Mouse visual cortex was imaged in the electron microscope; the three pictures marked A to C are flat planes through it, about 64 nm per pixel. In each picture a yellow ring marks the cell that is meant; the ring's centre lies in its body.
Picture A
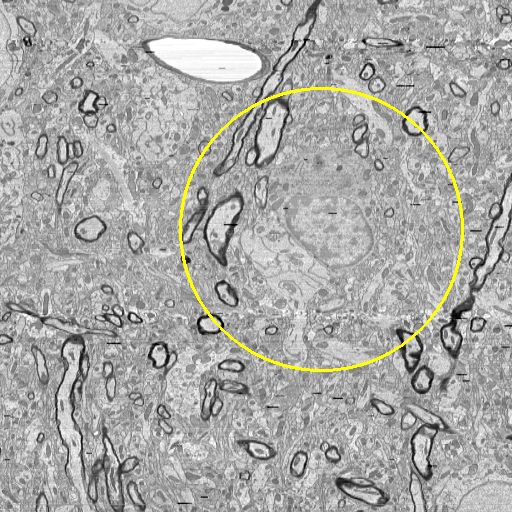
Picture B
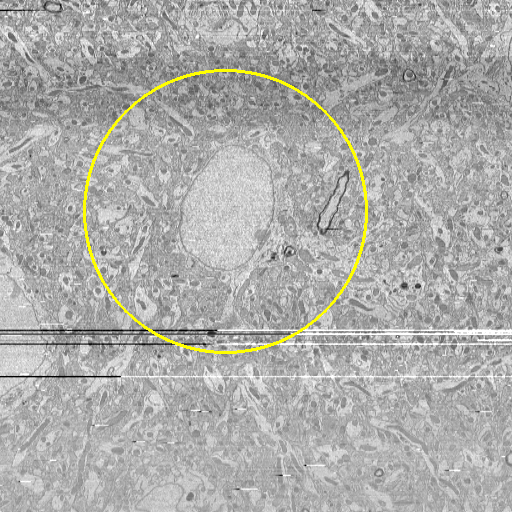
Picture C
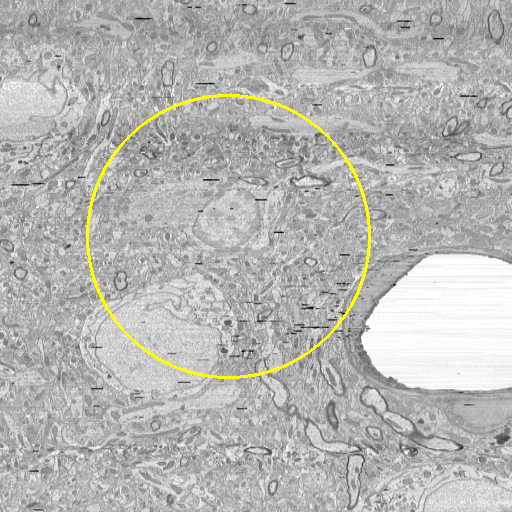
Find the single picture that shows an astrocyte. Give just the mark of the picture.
B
